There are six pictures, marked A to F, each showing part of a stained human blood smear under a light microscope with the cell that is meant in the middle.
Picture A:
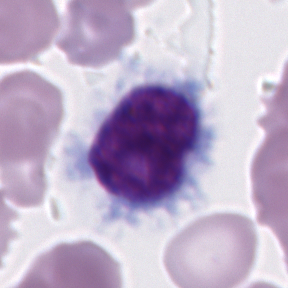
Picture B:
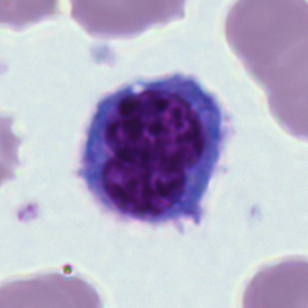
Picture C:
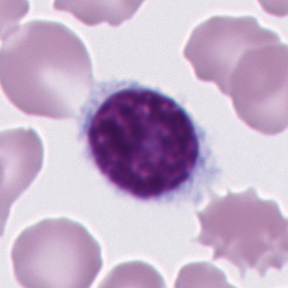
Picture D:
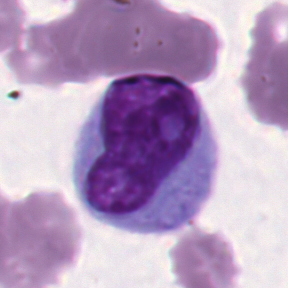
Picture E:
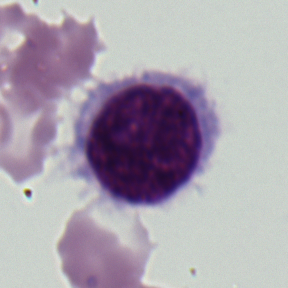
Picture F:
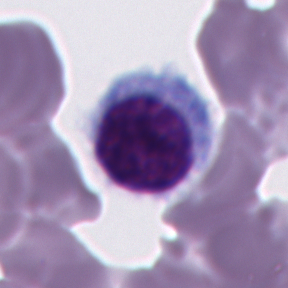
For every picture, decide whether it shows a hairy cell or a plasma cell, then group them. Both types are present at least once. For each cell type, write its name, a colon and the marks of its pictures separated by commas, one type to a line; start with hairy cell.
hairy cell: A, C, E, F
plasma cell: B, D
